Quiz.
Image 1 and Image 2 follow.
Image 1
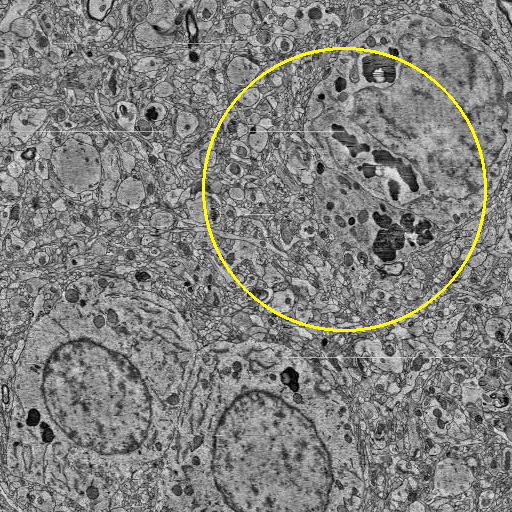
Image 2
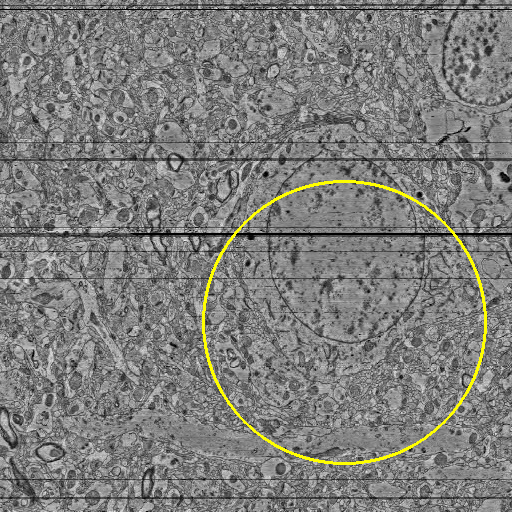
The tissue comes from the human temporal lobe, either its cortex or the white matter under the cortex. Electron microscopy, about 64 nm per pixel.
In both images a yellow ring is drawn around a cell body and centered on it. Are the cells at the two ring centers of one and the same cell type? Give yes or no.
no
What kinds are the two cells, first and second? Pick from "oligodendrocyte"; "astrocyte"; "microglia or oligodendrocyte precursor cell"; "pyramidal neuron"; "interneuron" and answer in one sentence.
The second picture holds a pyramidal neuron in its ring, and the first holds an oligodendrocyte.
